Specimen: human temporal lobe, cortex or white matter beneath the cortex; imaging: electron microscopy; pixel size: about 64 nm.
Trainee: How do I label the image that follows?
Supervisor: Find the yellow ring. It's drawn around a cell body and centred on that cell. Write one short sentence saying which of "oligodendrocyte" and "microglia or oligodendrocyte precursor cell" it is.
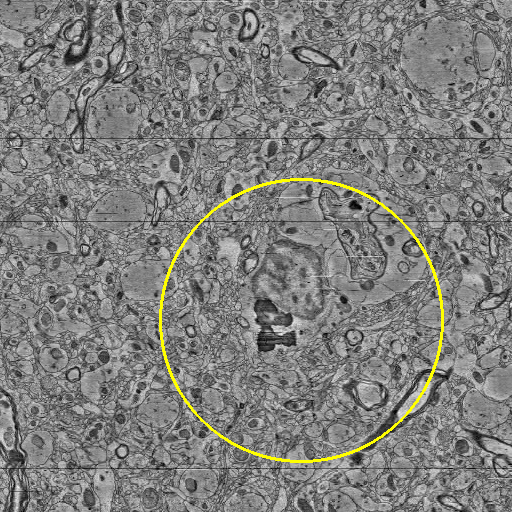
This is the cell body of an oligodendrocyte.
